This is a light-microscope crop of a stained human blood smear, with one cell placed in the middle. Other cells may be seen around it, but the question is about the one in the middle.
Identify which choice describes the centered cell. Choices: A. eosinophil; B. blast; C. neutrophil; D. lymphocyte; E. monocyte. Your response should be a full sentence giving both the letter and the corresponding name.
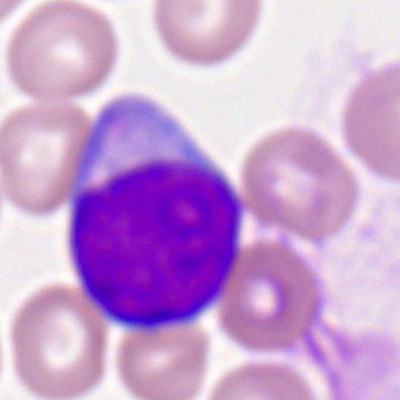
Option B is to be chosen, as the central cell is a blast.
